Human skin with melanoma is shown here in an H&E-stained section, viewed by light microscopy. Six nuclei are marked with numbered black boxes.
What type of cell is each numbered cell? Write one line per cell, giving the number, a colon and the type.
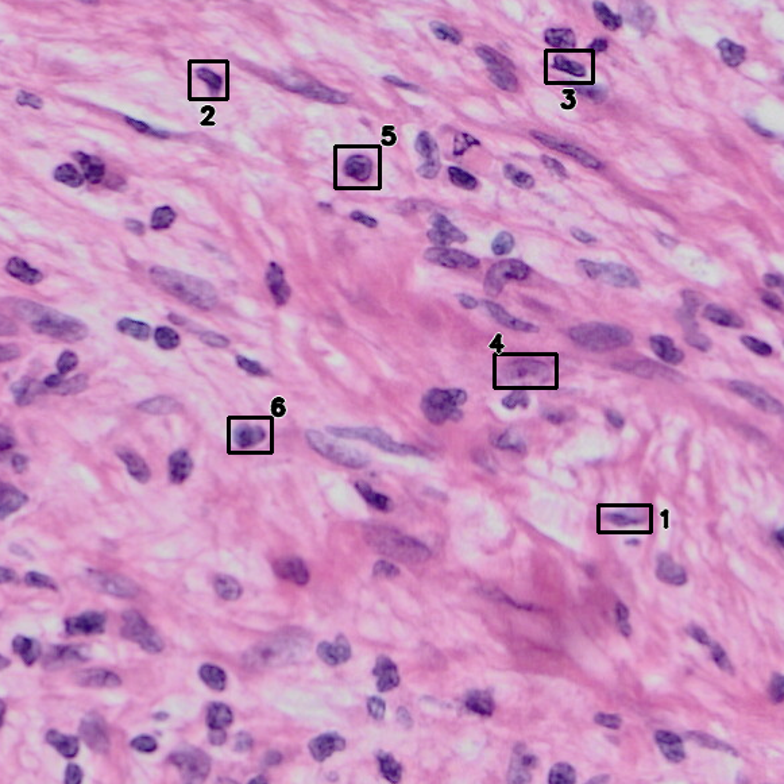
1: fibroblast or myofibroblast
2: lymphocyte
3: lymphocyte
4: fibroblast or myofibroblast
5: lymphocyte
6: lymphocyte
